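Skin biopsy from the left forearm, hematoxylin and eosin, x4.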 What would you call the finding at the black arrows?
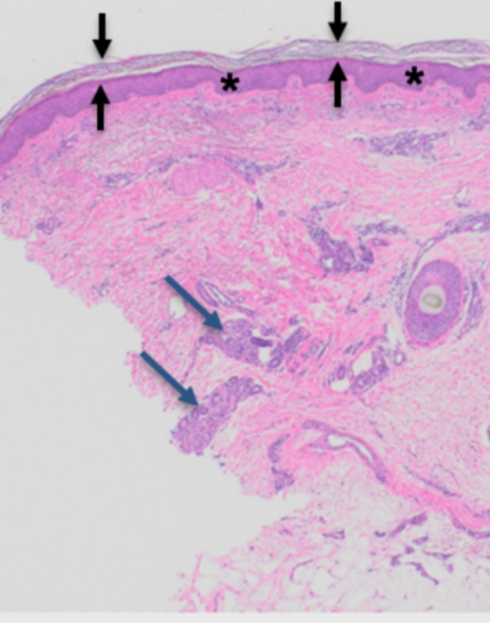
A: Basket-weave orthokeratosis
